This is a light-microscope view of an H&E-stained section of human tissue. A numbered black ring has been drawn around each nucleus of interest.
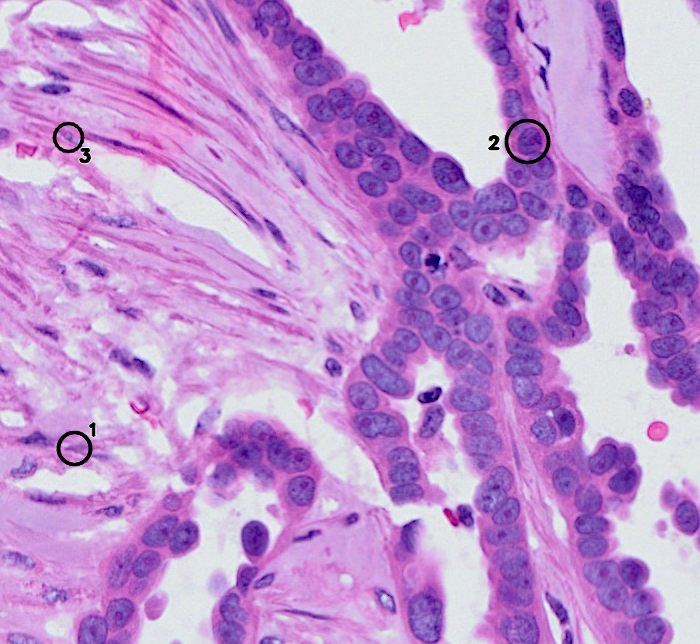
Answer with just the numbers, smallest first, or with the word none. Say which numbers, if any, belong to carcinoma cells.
2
